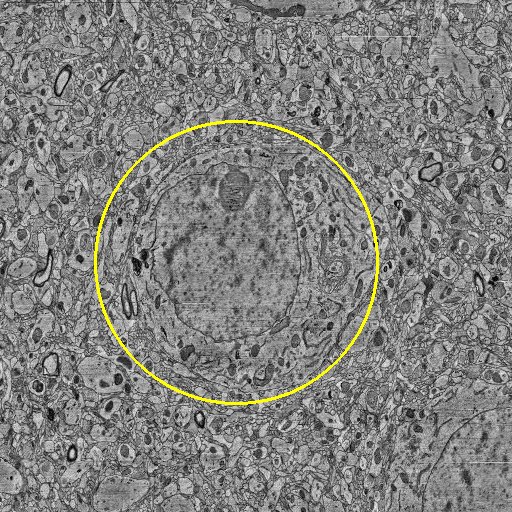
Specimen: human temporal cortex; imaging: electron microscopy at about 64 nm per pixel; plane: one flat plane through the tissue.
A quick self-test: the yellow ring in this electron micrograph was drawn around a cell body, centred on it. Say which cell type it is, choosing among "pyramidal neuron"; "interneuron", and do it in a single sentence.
The yellow-ringed cell is an interneuron.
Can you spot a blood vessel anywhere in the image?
No, no vessel appears in the picture.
